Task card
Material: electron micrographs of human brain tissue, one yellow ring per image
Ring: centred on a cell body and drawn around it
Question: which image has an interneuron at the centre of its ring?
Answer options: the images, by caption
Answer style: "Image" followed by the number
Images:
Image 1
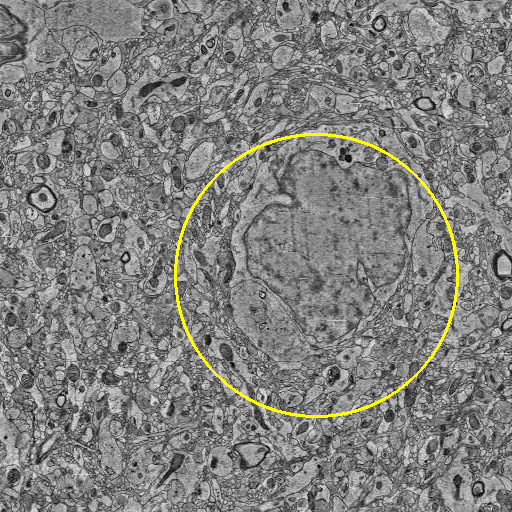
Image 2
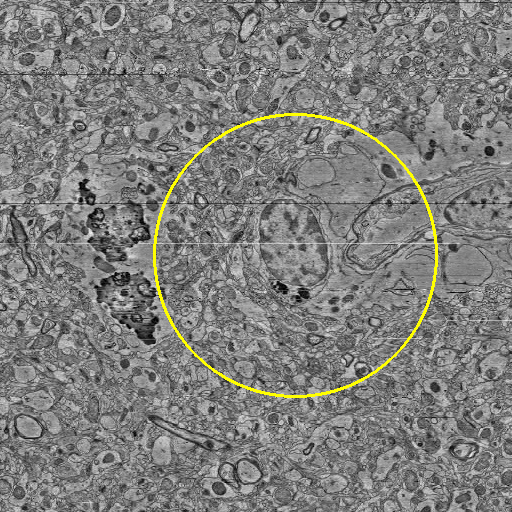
Image 1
